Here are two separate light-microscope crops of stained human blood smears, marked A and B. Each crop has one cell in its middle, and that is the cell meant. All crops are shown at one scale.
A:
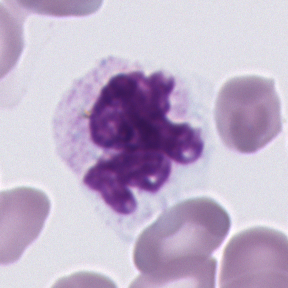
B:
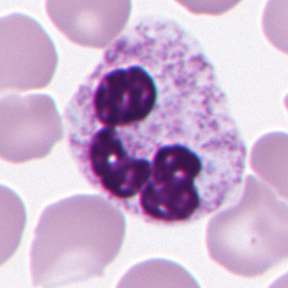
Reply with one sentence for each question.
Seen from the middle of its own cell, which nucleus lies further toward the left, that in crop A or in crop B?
In crop B the nucleus is shifted more toward the left.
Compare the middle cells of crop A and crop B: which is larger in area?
It is the cell in crop B, about 1.5 times as large in area as the cell in crop A.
